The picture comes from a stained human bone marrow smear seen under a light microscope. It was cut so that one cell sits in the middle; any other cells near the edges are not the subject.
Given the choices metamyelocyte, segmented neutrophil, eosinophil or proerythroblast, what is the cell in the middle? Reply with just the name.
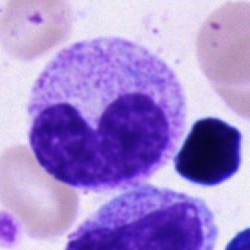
metamyelocyte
